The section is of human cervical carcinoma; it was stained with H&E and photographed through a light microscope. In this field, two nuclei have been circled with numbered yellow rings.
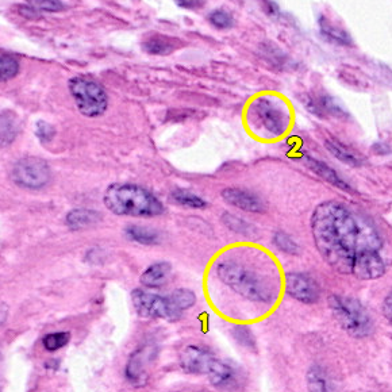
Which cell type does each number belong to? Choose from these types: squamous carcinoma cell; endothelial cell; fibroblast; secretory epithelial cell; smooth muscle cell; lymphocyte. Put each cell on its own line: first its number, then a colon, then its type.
1: squamous carcinoma cell
2: fibroblast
